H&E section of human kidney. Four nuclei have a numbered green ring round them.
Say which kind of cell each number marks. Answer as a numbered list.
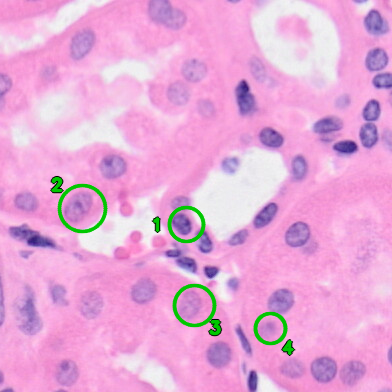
1. collecting duct cell
2. proximal tubule cell
3. proximal tubule cell
4. proximal tubule cell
